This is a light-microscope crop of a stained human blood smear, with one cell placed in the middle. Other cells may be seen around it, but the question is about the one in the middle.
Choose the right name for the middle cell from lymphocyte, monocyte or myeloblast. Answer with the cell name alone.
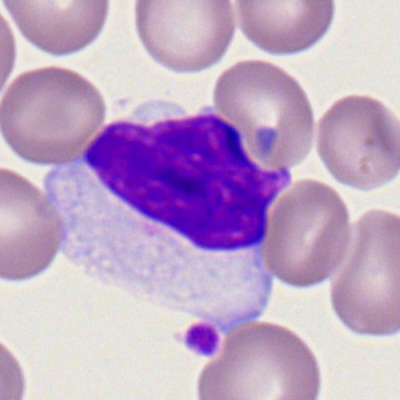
lymphocyte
